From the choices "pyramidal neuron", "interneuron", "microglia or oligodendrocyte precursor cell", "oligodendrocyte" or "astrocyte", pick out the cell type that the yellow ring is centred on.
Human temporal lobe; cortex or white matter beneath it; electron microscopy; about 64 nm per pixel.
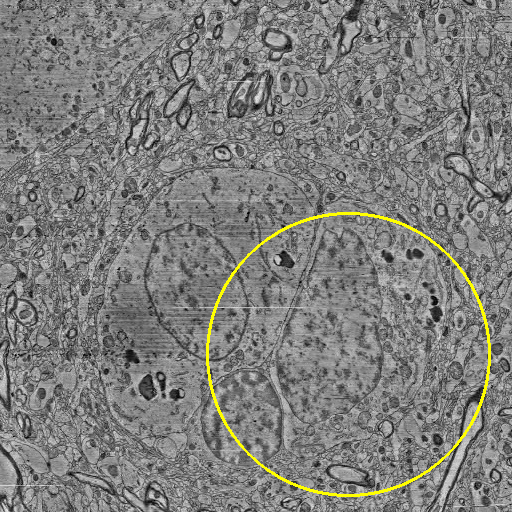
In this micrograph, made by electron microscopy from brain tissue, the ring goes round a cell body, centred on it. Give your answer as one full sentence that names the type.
The yellow ring is centred on an interneuron, whose cell body it encircles in the picture.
